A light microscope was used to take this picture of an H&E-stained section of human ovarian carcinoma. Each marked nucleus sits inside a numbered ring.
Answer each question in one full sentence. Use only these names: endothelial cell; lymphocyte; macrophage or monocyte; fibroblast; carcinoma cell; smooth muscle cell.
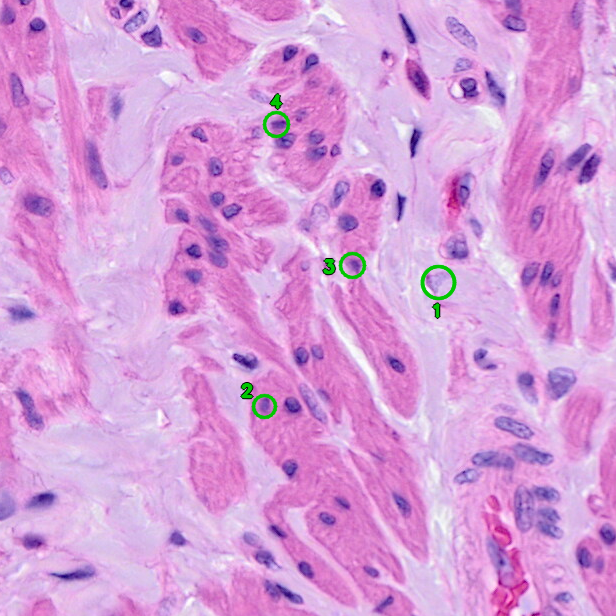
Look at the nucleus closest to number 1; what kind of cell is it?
The nearest nucleus to number 1 belongs to an endothelial cell.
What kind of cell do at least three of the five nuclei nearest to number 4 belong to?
Around number 4, most of the five nearest nuclei are those of smooth muscle cells.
